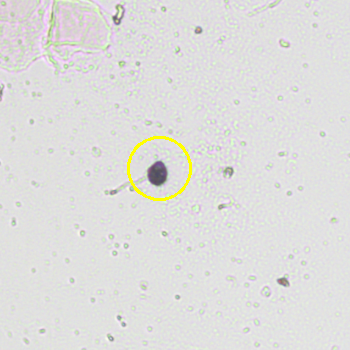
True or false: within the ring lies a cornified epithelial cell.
False: a leukocyte lies within the ring.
